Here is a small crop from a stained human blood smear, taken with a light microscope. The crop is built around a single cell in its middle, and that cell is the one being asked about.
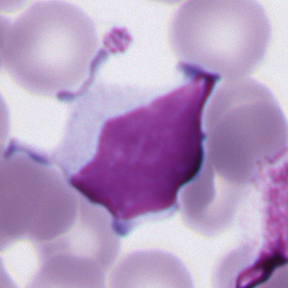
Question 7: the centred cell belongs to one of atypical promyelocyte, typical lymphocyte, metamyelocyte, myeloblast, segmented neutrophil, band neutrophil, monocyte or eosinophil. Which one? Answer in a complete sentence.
The cell that lies at the centre of the crop is a typical lymphocyte.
